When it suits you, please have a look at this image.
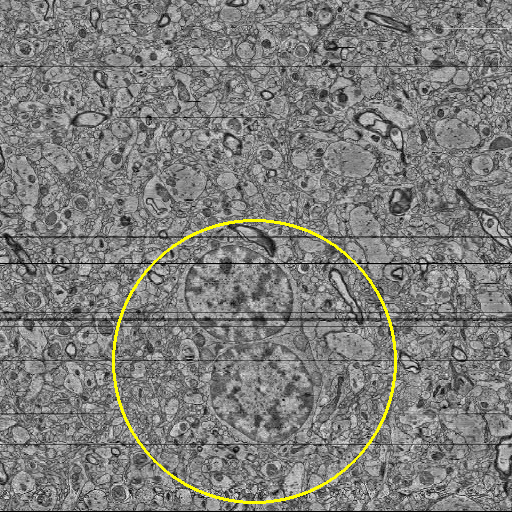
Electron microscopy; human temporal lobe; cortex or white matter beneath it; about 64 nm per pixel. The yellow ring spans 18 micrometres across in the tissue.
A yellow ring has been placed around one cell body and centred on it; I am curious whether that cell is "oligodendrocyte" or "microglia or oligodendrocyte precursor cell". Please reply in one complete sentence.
The ringed cell, an oligodendrocyte, has its body at the centre of the yellow ring.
